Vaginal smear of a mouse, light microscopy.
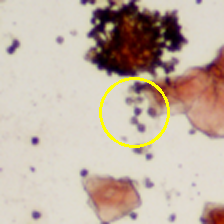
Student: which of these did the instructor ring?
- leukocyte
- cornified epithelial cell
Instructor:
The cell I ringed is a leukocyte.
